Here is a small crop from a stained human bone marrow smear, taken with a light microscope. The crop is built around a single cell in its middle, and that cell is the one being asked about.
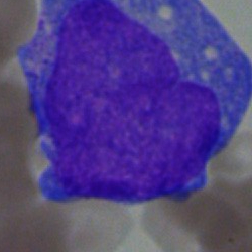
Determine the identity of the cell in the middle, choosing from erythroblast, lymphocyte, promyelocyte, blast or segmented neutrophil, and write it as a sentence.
Centred in the crop is a blast.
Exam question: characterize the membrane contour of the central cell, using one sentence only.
The periphery of this cell is uneven, with ragged portions or projections.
